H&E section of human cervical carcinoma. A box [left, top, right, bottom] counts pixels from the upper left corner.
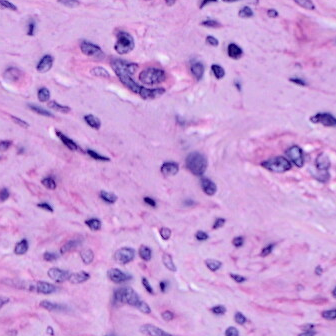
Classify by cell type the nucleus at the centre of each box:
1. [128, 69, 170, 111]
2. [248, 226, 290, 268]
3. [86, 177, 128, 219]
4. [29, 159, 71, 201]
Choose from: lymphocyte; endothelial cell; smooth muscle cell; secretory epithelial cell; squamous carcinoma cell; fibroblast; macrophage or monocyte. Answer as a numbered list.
1. endothelial cell
2. smooth muscle cell
3. fibroblast
4. smooth muscle cell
